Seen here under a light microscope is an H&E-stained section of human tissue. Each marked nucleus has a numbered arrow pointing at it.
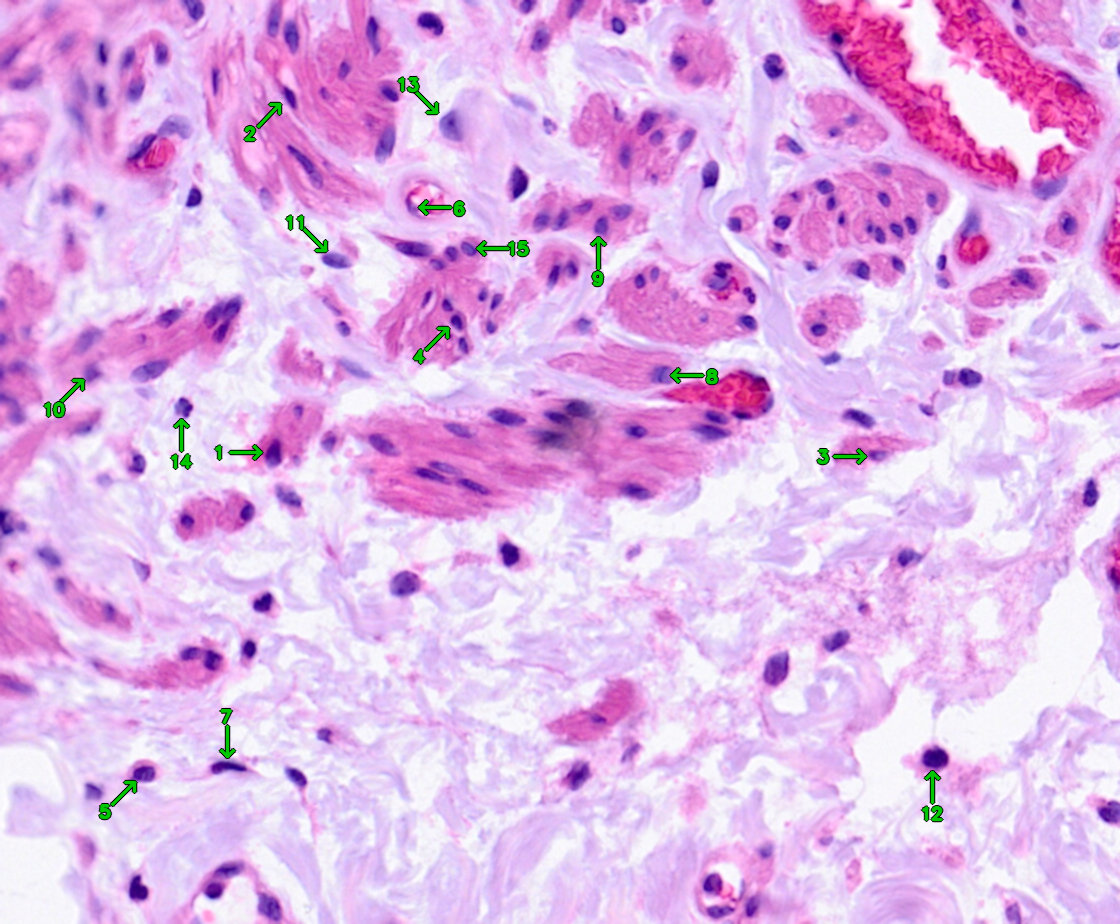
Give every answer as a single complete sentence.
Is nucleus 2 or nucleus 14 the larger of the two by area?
At about 1.5 times the area of nucleus 2, nucleus 14 is the larger of the two.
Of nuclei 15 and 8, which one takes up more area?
The larger nucleus is 8, at roughly 2 times the area of 15.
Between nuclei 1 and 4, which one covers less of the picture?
Nucleus 4 covers less area, with nucleus 1 about 2.5 times as large.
